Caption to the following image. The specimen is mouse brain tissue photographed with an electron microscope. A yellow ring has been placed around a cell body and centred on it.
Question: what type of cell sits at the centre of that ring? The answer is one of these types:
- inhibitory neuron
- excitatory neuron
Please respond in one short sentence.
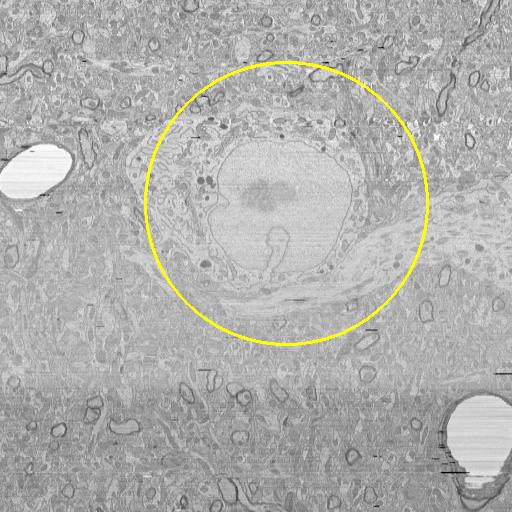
The ring surrounds the cell body of an inhibitory neuron.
